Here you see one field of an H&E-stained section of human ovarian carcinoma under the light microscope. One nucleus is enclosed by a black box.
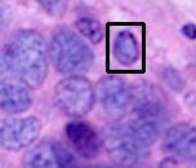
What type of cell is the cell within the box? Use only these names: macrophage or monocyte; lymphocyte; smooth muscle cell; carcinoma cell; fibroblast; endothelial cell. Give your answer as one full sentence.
Assigned to a cell type, the cell within the box is a macrophage or monocyte.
